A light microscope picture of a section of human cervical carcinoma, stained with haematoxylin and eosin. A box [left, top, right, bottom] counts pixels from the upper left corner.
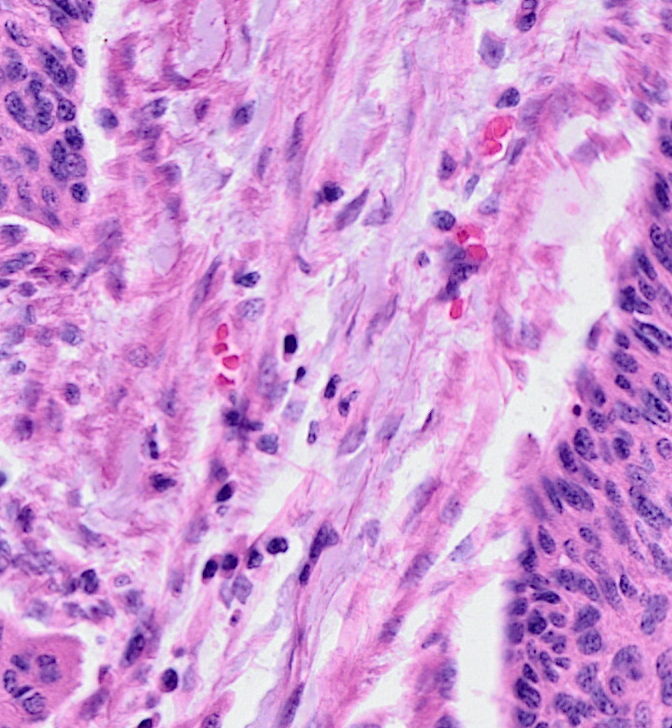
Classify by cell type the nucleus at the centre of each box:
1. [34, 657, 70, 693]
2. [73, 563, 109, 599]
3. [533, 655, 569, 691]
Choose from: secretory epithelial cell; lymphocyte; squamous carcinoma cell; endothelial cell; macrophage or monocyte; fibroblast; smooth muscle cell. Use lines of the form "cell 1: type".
cell 1: squamous carcinoma cell
cell 2: lymphocyte
cell 3: squamous carcinoma cell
